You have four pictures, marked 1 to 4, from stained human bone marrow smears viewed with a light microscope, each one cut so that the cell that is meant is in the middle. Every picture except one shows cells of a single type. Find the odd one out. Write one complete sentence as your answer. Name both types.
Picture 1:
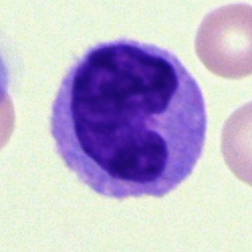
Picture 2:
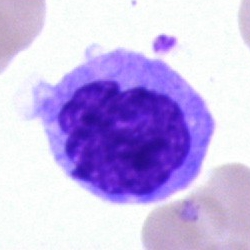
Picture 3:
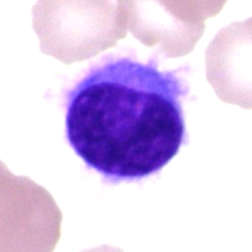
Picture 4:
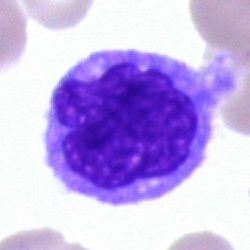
Unlike the rest, which show monocytes, picture 3 shows a hairy cell.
